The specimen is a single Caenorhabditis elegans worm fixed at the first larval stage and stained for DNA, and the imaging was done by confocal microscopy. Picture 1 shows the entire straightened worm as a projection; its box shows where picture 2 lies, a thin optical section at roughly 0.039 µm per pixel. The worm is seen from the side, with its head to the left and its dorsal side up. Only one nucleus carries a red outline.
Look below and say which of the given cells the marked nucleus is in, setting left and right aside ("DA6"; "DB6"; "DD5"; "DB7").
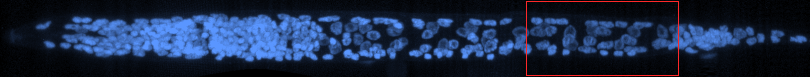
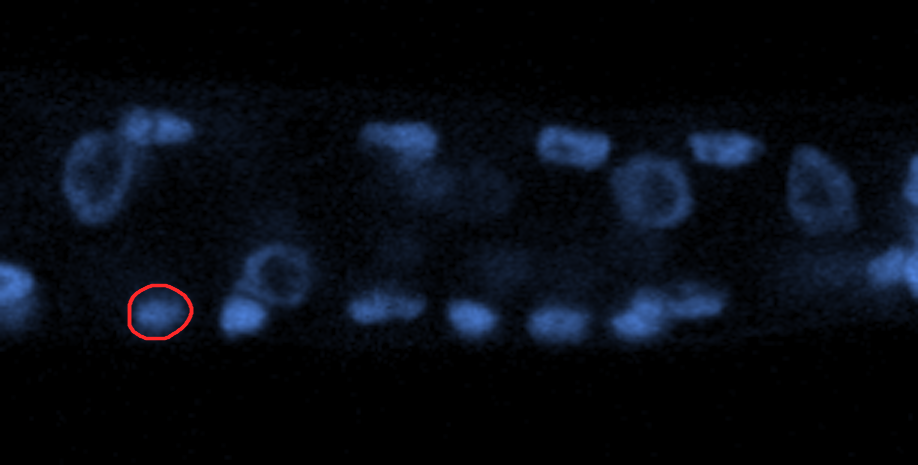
DB6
